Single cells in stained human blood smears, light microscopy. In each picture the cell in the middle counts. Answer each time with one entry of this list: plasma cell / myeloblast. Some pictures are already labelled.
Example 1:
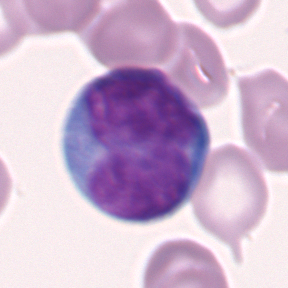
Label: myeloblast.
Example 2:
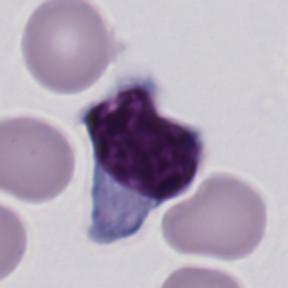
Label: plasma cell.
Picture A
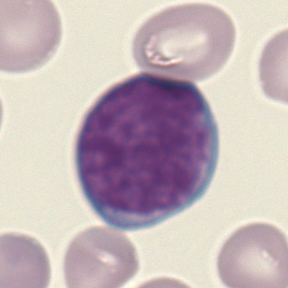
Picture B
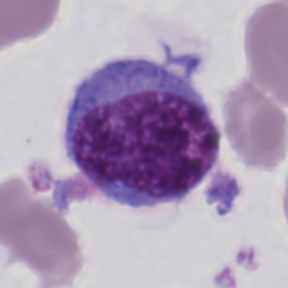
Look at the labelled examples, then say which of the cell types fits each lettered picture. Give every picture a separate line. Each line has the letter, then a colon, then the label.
A: myeloblast.
B: plasma cell.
